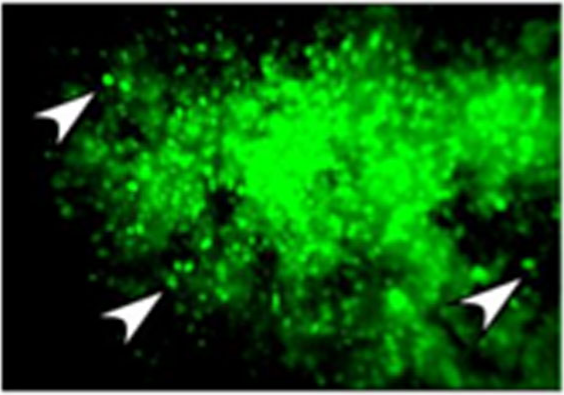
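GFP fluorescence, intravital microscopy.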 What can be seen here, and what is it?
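Numerous small, round, intensely bright green dots are scattered through the field, clearly smaller and brighter than the surrounding fluorescence. Toward the centre the green signal merges into a dense, bright mass. Around it, the tissue is broken by irregular dark, unlabelled patches. Along the edges of the field the bright dots lie more loosely, separated by dark gaps.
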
